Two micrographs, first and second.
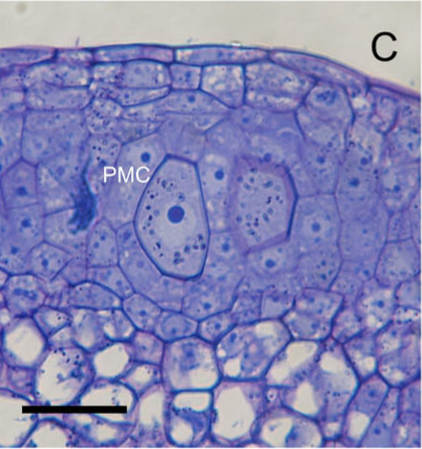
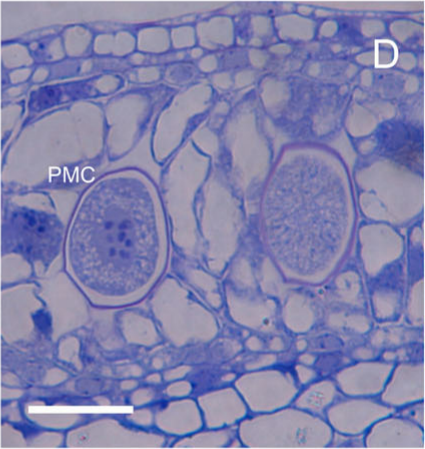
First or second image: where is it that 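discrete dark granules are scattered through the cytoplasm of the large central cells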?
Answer: The first image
